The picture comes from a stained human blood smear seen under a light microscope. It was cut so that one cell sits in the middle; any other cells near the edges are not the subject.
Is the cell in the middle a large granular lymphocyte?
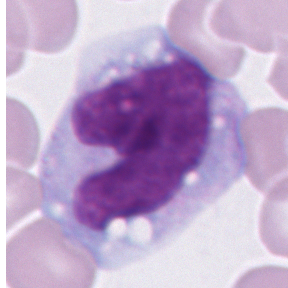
no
